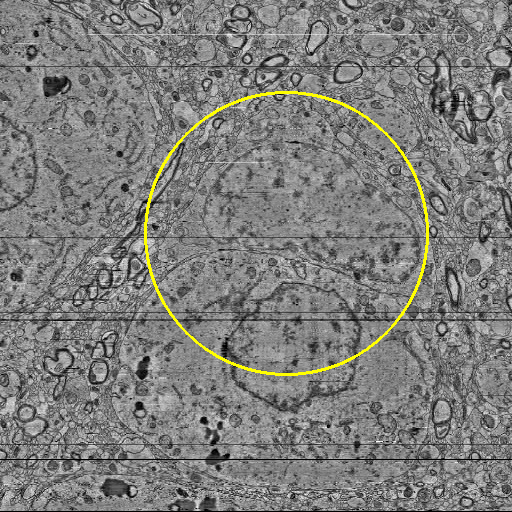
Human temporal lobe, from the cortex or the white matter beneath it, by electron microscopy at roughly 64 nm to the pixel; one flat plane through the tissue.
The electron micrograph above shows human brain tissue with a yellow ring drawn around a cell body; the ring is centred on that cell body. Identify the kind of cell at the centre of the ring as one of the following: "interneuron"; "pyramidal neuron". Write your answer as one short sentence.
The cell at the centre of the ring is an interneuron.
